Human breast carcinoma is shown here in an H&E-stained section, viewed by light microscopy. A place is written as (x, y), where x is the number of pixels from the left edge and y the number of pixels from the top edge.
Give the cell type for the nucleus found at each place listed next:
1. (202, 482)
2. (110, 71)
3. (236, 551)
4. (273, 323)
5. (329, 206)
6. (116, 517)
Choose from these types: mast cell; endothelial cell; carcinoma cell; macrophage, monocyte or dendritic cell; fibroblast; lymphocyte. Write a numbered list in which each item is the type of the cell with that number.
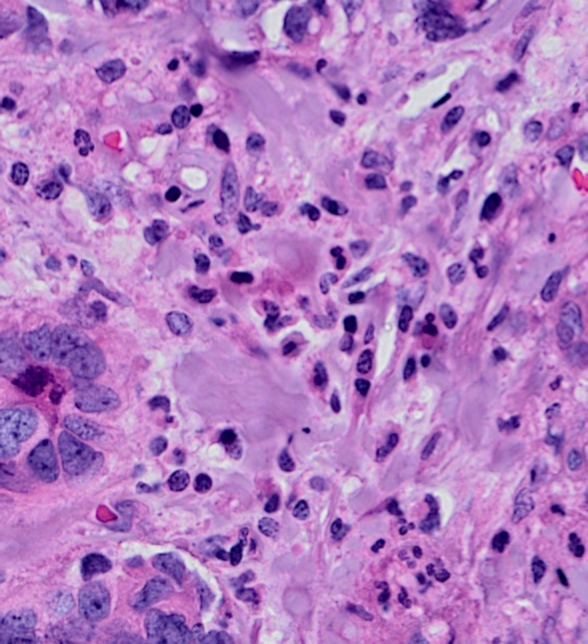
1. lymphocyte
2. macrophage, monocyte or dendritic cell
3. lymphocyte
4. lymphocyte
5. lymphocyte
6. endothelial cell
